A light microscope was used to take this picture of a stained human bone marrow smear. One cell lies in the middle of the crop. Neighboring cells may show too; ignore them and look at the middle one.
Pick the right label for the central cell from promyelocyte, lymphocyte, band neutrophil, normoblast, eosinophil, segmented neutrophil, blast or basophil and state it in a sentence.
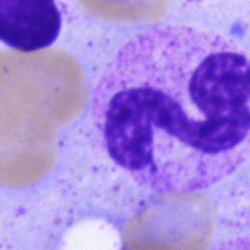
Located at the centre of the crop is a segmented neutrophil.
